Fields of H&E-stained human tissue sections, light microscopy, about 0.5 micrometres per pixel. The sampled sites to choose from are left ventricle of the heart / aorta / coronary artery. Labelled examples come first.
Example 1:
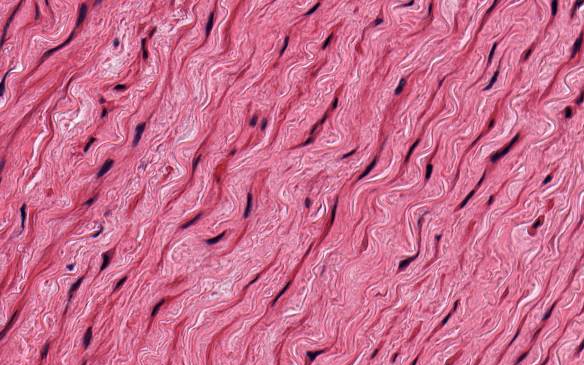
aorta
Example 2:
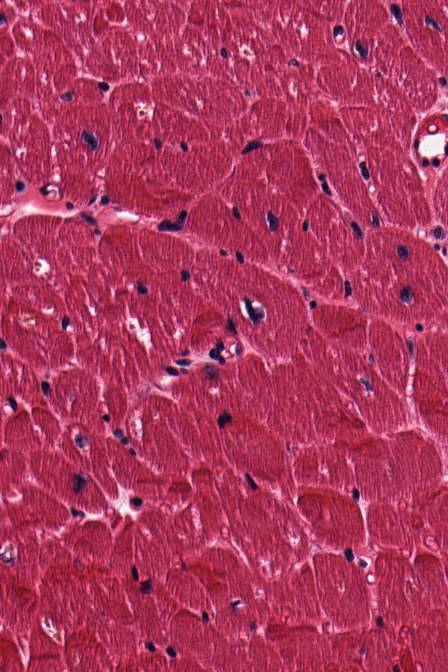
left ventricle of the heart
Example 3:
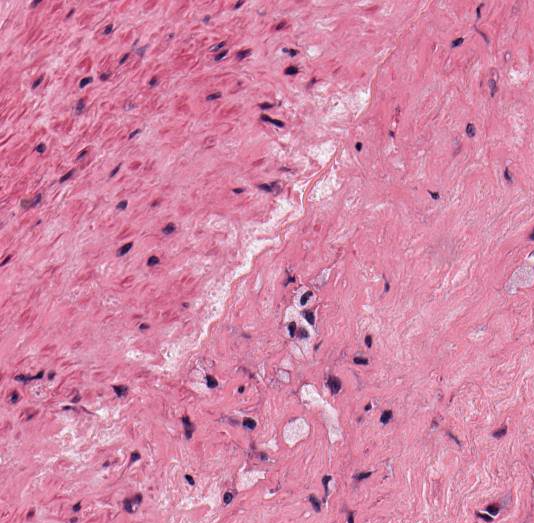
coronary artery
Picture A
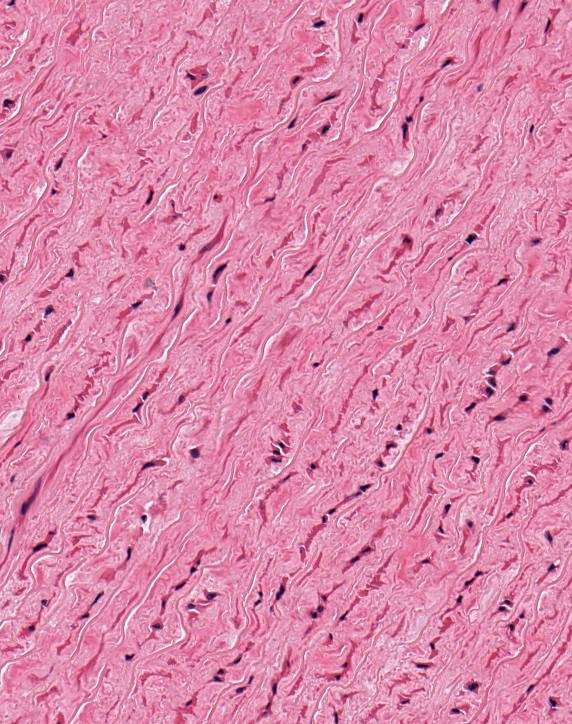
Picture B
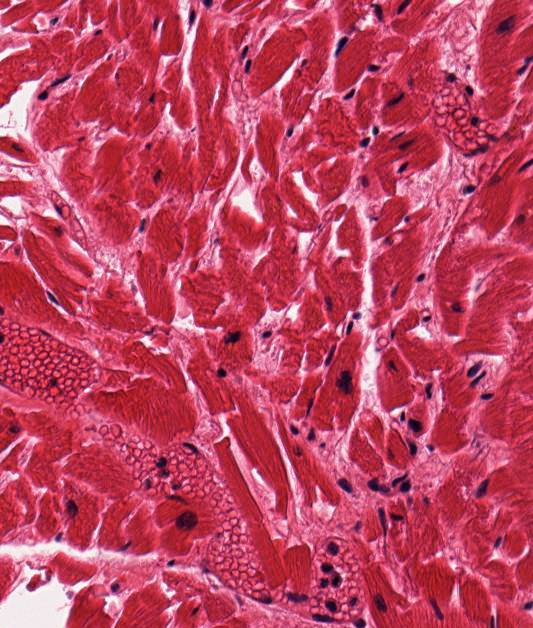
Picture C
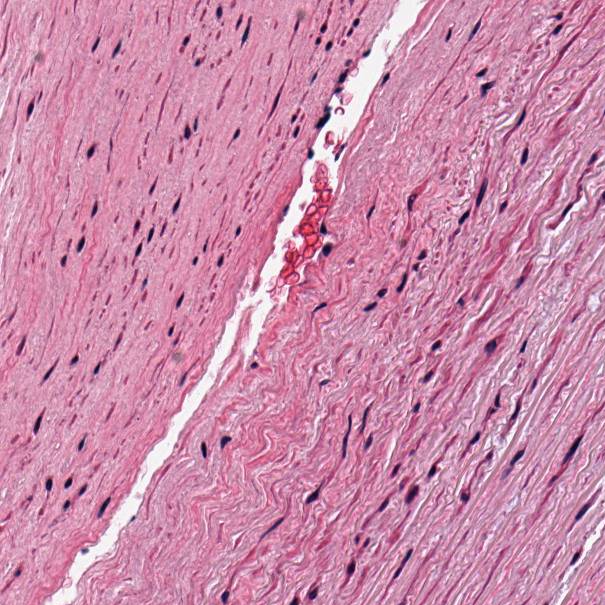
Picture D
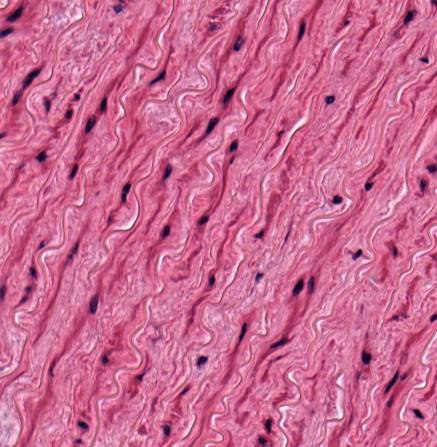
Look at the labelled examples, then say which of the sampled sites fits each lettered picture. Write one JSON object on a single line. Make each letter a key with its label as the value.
{"A": "aorta", "B": "left ventricle of the heart", "C": "aorta", "D": "aorta"}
